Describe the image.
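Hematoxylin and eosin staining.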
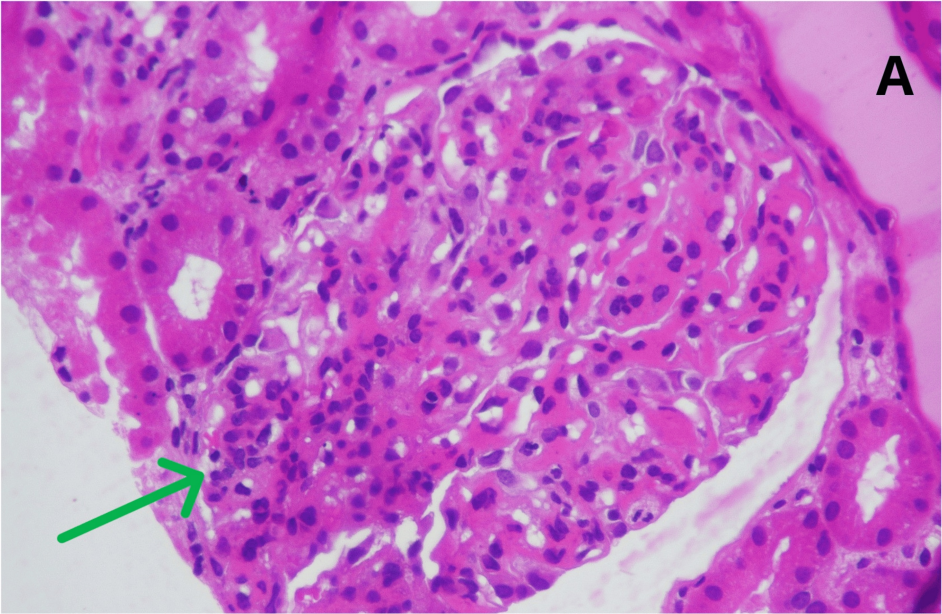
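Kidney cortex with an enlarged glomerulus surrounded by tubules lined by pink cuboidal epithelium. The glomerular tuft is crowded with many dark nuclei, and most capillary lumina are narrowed or closed. At one edge of the tuft a dense cluster of small, dark nuclei is packed together. A narrow clear space separates the tuft from the capsule.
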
